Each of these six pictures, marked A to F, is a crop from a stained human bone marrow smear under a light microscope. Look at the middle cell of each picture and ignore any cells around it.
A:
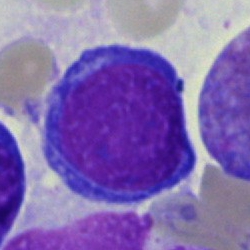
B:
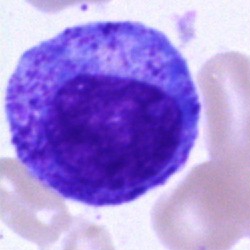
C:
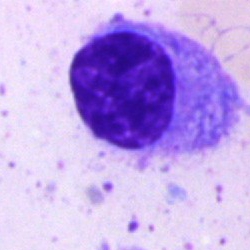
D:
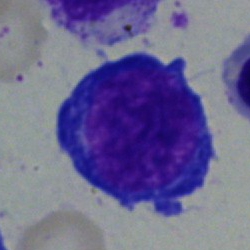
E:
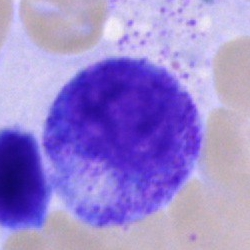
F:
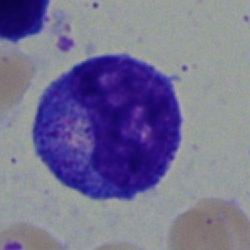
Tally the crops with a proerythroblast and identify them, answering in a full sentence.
Seen in two crops, A and D, are proerythroblasts.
